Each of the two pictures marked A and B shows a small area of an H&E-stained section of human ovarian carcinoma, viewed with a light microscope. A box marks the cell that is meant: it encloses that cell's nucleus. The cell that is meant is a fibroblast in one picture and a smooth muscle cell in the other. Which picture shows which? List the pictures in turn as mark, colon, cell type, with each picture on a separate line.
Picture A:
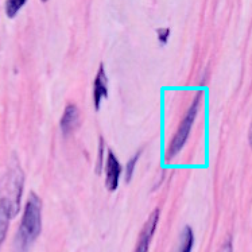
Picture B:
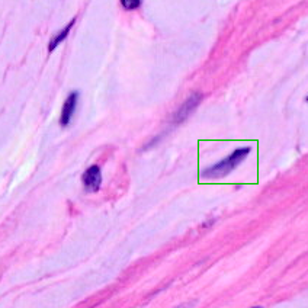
A: smooth muscle cell
B: fibroblast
